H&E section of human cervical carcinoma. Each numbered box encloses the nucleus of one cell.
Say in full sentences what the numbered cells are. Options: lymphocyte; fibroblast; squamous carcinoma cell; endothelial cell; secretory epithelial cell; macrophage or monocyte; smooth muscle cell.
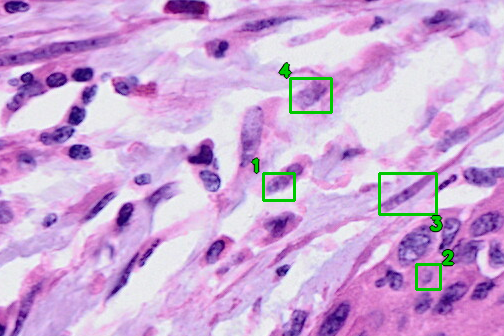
Cell 1 is a macrophage or monocyte. Cell 2 is a squamous carcinoma cell. Cells 3 and 4 are fibroblasts.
